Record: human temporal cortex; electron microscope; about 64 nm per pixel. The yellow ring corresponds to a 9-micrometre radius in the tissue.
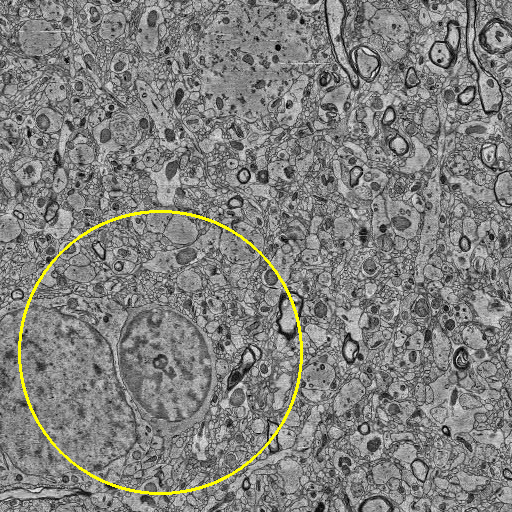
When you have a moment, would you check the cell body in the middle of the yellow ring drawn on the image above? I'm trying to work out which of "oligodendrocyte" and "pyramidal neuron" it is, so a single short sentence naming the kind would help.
This cell body belongs to an oligodendrocyte.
